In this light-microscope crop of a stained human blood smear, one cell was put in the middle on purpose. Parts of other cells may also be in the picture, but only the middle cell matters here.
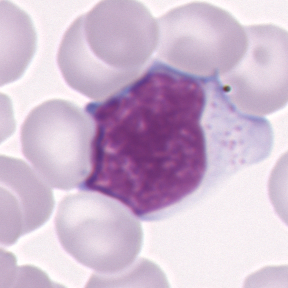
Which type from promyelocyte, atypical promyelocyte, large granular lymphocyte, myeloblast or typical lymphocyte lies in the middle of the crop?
large granular lymphocyte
